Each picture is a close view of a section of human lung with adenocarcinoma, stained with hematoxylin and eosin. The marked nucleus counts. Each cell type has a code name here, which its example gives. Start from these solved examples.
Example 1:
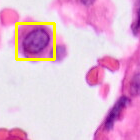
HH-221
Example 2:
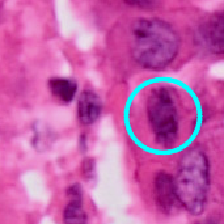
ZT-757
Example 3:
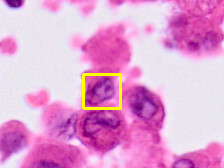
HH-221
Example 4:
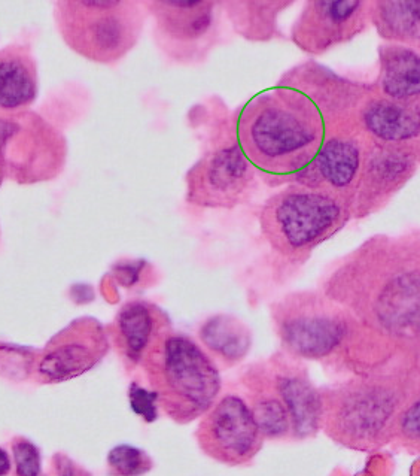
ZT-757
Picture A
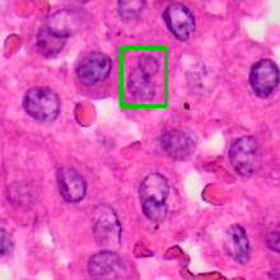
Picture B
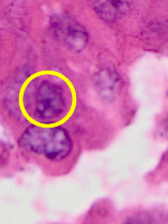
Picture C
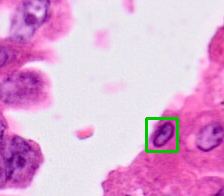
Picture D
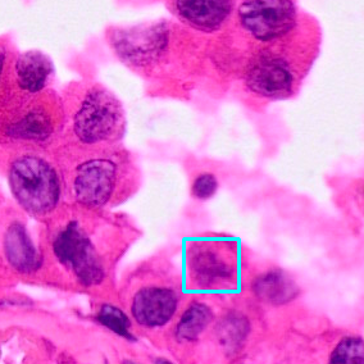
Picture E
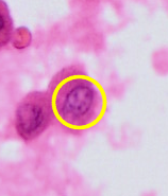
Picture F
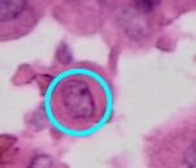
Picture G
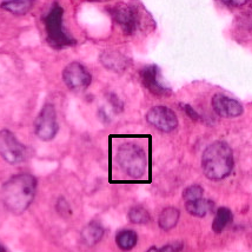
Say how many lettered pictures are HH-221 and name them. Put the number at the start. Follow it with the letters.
Count: 5 (A, C, E, F, G)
